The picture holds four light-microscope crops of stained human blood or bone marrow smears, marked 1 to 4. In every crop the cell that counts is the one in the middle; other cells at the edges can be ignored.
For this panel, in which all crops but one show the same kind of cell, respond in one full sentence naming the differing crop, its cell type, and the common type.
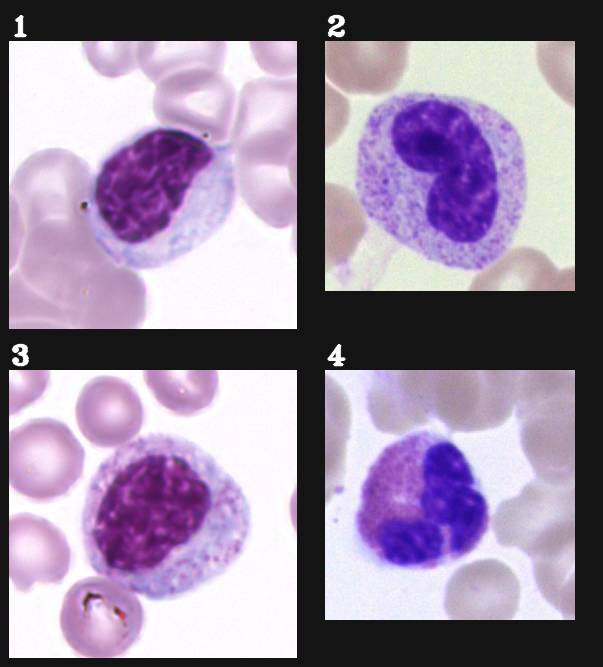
Shown in crop 4 is an eosinophil, in contrast to the metamyelocytes of all the other crops.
